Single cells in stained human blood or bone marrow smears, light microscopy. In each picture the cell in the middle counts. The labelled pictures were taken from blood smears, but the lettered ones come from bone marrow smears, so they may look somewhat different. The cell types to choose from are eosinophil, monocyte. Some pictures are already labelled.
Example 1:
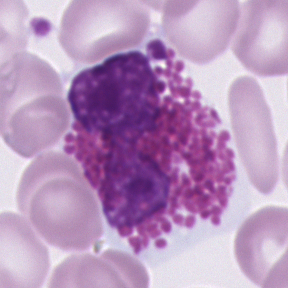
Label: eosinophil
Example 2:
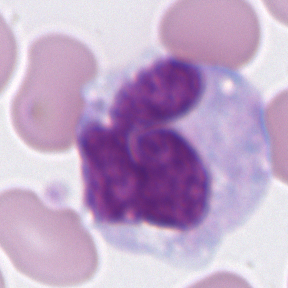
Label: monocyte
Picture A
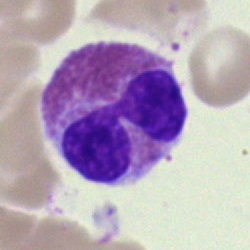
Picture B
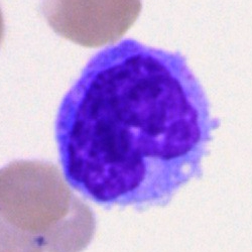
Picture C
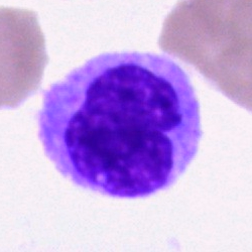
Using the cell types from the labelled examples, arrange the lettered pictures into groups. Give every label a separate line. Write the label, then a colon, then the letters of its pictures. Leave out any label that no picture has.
eosinophil: A
monocyte: B, C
